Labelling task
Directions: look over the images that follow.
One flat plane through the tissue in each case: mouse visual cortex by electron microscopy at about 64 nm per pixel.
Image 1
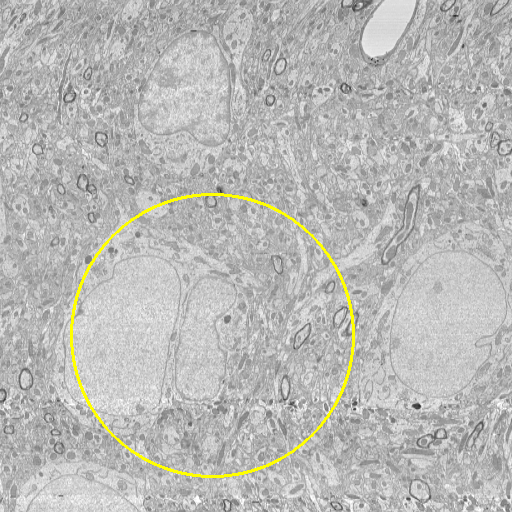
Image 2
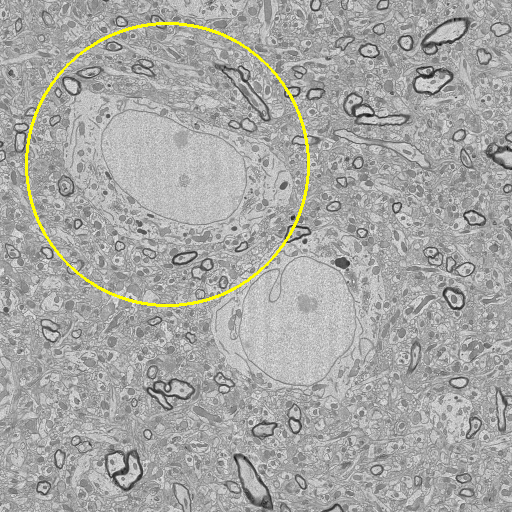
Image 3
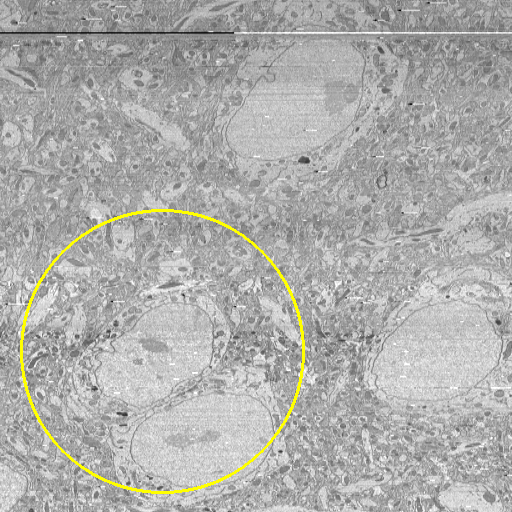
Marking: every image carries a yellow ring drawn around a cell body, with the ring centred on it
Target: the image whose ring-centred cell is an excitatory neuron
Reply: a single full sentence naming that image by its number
The requested cell sits at the ring's centre in Image 2.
